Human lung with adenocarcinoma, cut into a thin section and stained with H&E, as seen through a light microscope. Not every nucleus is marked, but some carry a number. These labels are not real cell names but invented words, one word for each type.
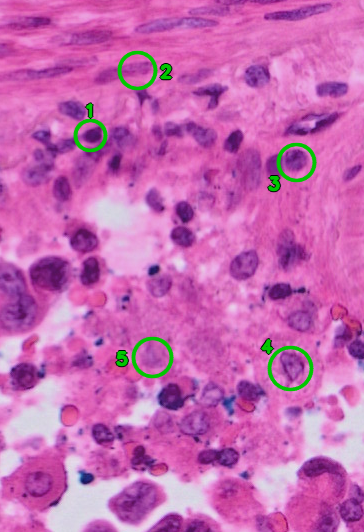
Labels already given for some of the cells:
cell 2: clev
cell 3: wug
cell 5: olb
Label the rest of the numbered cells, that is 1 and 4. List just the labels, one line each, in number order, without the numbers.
wug
olb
